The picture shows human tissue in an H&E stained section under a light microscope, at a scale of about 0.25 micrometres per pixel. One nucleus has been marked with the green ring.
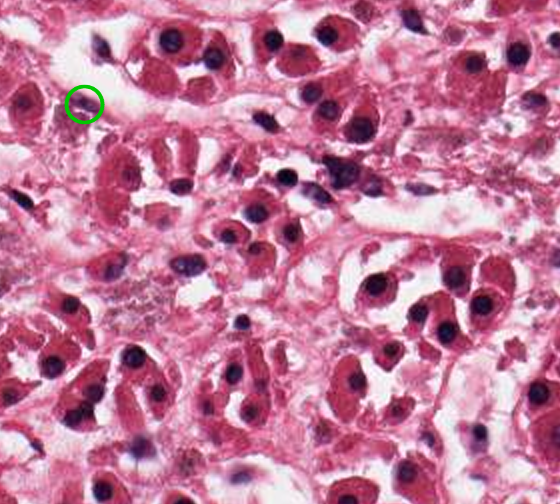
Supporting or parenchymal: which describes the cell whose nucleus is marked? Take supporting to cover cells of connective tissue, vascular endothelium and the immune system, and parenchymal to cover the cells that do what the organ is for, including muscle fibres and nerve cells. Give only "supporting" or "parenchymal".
supporting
